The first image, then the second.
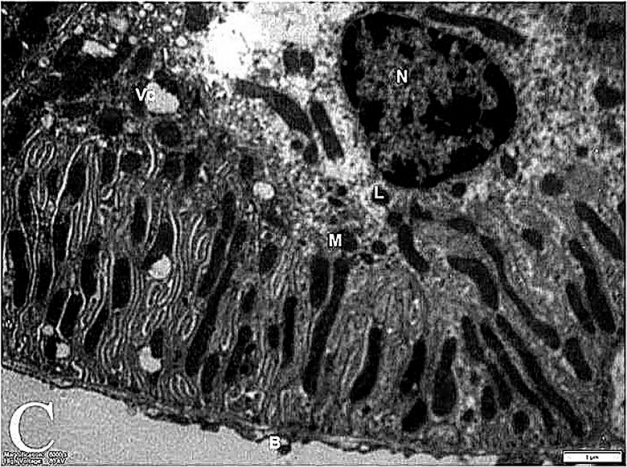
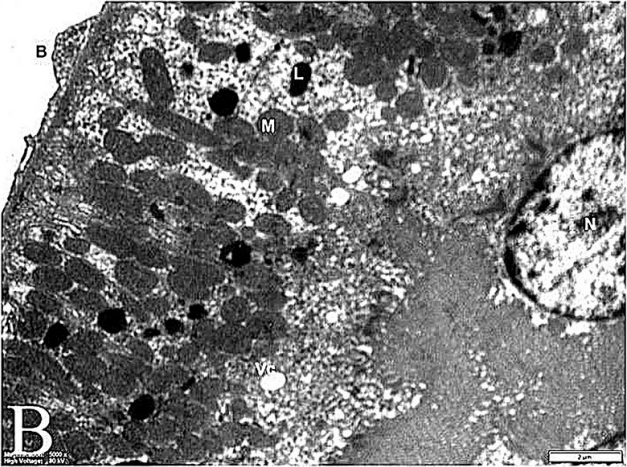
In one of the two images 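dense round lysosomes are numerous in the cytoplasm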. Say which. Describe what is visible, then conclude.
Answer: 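First image: only a few small dense bodies lie among the mitochondria and infoldings. Second image: many round, very dark dense bodies are scattered among the mitochondria.
Answer: the second image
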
